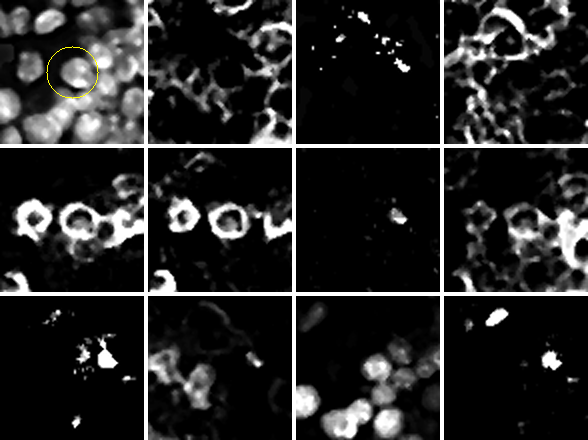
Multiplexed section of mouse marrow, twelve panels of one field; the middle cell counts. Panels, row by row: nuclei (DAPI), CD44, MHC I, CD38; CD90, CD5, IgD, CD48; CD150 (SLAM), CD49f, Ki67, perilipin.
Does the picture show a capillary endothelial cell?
No, it shows a T cell.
